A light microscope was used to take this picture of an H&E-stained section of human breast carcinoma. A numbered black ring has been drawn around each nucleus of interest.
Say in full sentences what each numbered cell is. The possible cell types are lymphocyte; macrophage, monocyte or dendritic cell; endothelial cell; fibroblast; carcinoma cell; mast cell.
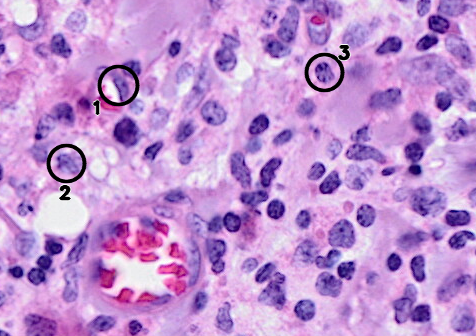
Cell 1 is an endothelial cell, cell 2 is a macrophage, monocyte or dendritic cell and cell 3 is a lymphocyte.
